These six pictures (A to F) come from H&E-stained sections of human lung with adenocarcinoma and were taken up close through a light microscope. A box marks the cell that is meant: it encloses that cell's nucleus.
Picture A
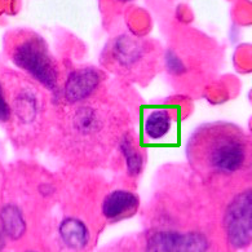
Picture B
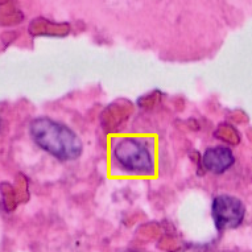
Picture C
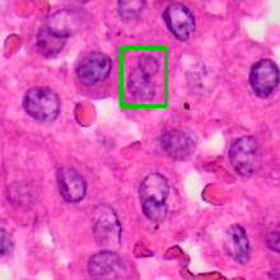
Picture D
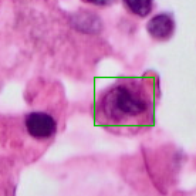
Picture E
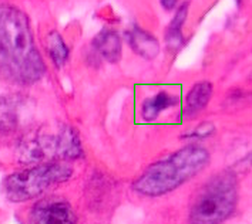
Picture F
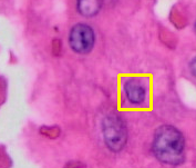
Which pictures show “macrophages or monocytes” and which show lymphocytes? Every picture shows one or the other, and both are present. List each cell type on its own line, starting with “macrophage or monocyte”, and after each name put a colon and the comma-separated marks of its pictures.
macrophage or monocyte: B, C, D, F
lymphocyte: A, E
